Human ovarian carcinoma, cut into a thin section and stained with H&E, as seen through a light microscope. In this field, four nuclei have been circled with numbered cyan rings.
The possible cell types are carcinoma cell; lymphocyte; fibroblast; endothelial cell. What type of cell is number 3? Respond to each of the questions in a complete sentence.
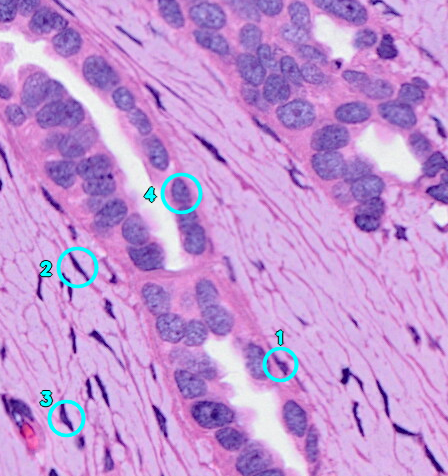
Here the cell numbered 3 is a fibroblast.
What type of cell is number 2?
The cell pointed out as number 2 is a fibroblast.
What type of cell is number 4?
The cell that is numbered 4 is a carcinoma cell.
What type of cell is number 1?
The cell to which the number 1 is assigned is a fibroblast.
